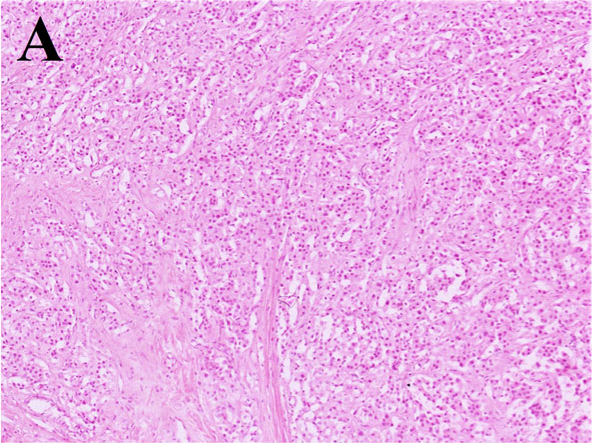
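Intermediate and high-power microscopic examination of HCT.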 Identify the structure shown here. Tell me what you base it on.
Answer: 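Pale pink fibrous strands run across the field. The strands divide densely cellular areas into sheets and lobules. So: fibrous bands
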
